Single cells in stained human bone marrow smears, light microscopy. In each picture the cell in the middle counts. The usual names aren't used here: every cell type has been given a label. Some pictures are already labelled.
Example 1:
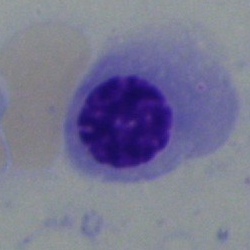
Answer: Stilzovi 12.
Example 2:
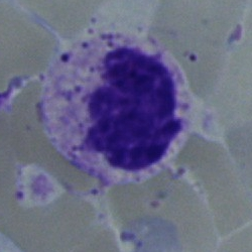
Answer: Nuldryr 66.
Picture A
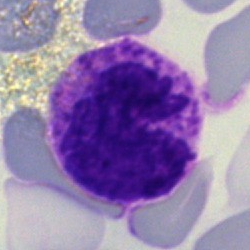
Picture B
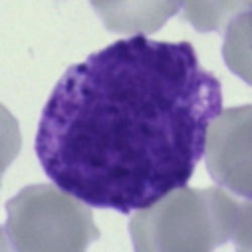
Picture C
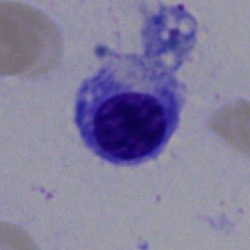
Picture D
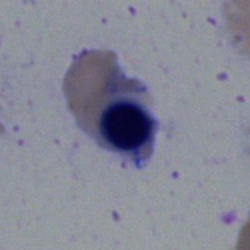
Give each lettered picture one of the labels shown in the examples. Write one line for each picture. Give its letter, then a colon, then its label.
A: Nuldryr 66.
B: Nuldryr 66.
C: Stilzovi 12.
D: Stilzovi 12.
